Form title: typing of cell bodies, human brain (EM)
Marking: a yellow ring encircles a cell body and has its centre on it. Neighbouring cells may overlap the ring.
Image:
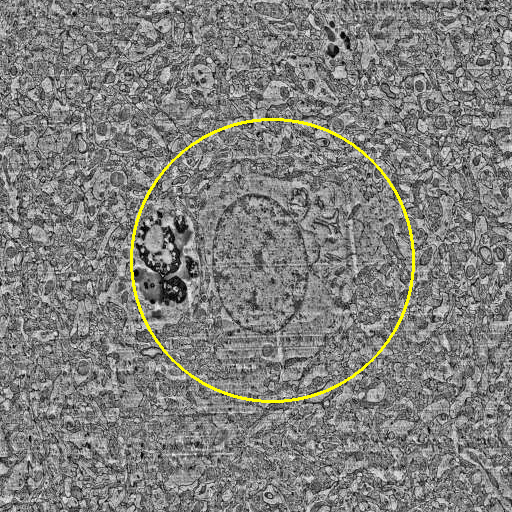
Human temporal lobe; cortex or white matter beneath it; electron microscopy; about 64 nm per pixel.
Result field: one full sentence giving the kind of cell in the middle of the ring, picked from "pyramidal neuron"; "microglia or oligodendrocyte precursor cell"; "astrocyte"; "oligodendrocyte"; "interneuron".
In the picture, the ring is centred on an astrocyte, whose cell body it encircles.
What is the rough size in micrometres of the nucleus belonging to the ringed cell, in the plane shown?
Roughly 9 by 6 micrometres in this plane, for the nucleus of the ringed cell.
